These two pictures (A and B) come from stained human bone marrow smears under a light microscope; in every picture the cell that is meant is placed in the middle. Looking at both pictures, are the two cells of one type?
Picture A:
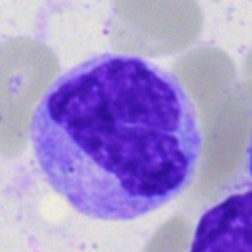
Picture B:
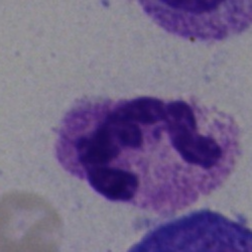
no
